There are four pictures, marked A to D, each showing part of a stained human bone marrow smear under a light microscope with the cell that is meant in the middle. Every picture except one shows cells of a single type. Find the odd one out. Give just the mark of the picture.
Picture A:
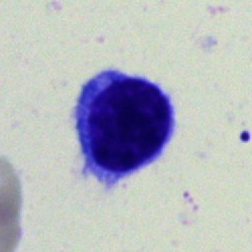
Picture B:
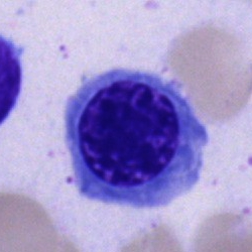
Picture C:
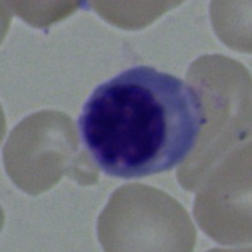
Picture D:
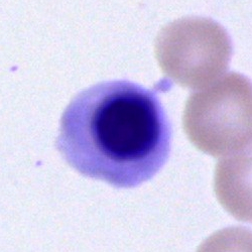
A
